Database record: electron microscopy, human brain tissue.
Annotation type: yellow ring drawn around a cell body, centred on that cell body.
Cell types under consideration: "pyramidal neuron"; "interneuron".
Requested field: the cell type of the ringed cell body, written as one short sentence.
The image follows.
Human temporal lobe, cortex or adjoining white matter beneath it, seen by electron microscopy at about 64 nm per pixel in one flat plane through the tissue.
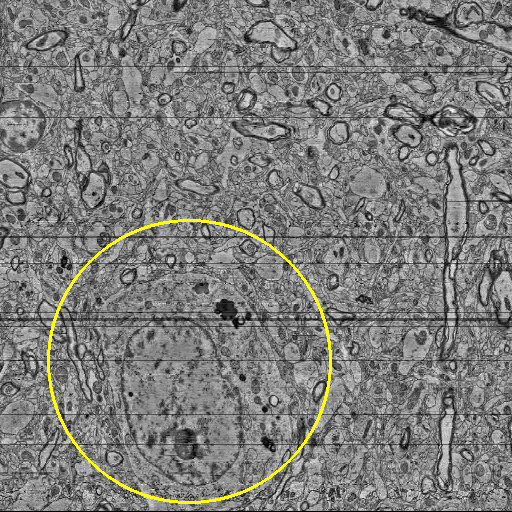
The ringed cell body represents an interneuron.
